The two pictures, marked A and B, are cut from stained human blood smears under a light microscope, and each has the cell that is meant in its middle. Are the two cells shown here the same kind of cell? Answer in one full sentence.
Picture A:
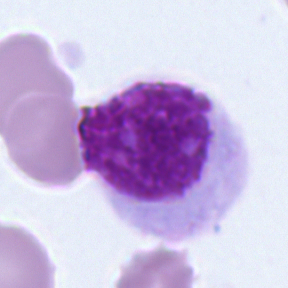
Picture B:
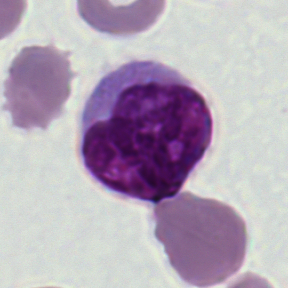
Yes, both are plasma cells.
